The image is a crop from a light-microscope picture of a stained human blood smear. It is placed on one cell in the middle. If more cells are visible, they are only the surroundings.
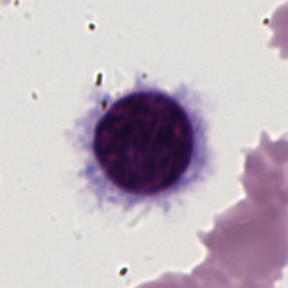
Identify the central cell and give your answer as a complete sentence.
In the centre of this crop there is a hairy cell.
